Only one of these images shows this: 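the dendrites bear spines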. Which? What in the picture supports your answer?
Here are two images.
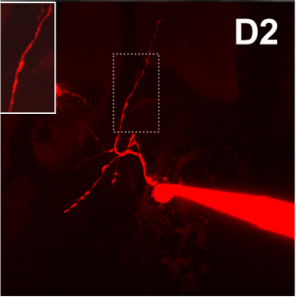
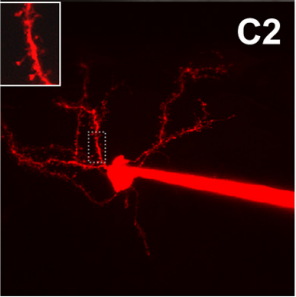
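First image: the enlarged process in the inset is smooth. Second image: the enlarged process in the inset carries many short protrusions.
Answer: the second image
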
